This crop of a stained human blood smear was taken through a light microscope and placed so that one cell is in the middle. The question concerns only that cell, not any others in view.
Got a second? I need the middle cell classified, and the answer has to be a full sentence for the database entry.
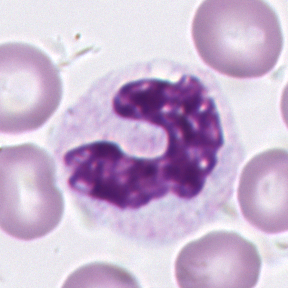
In the crop, the cell of interest at the centre is a band neutrophil.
